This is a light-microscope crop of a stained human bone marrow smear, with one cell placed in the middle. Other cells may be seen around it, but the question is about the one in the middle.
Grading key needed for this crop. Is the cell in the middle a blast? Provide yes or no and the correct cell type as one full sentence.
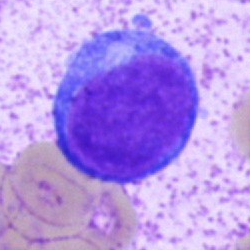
Yes, the cell centred in the field of view is a blast.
